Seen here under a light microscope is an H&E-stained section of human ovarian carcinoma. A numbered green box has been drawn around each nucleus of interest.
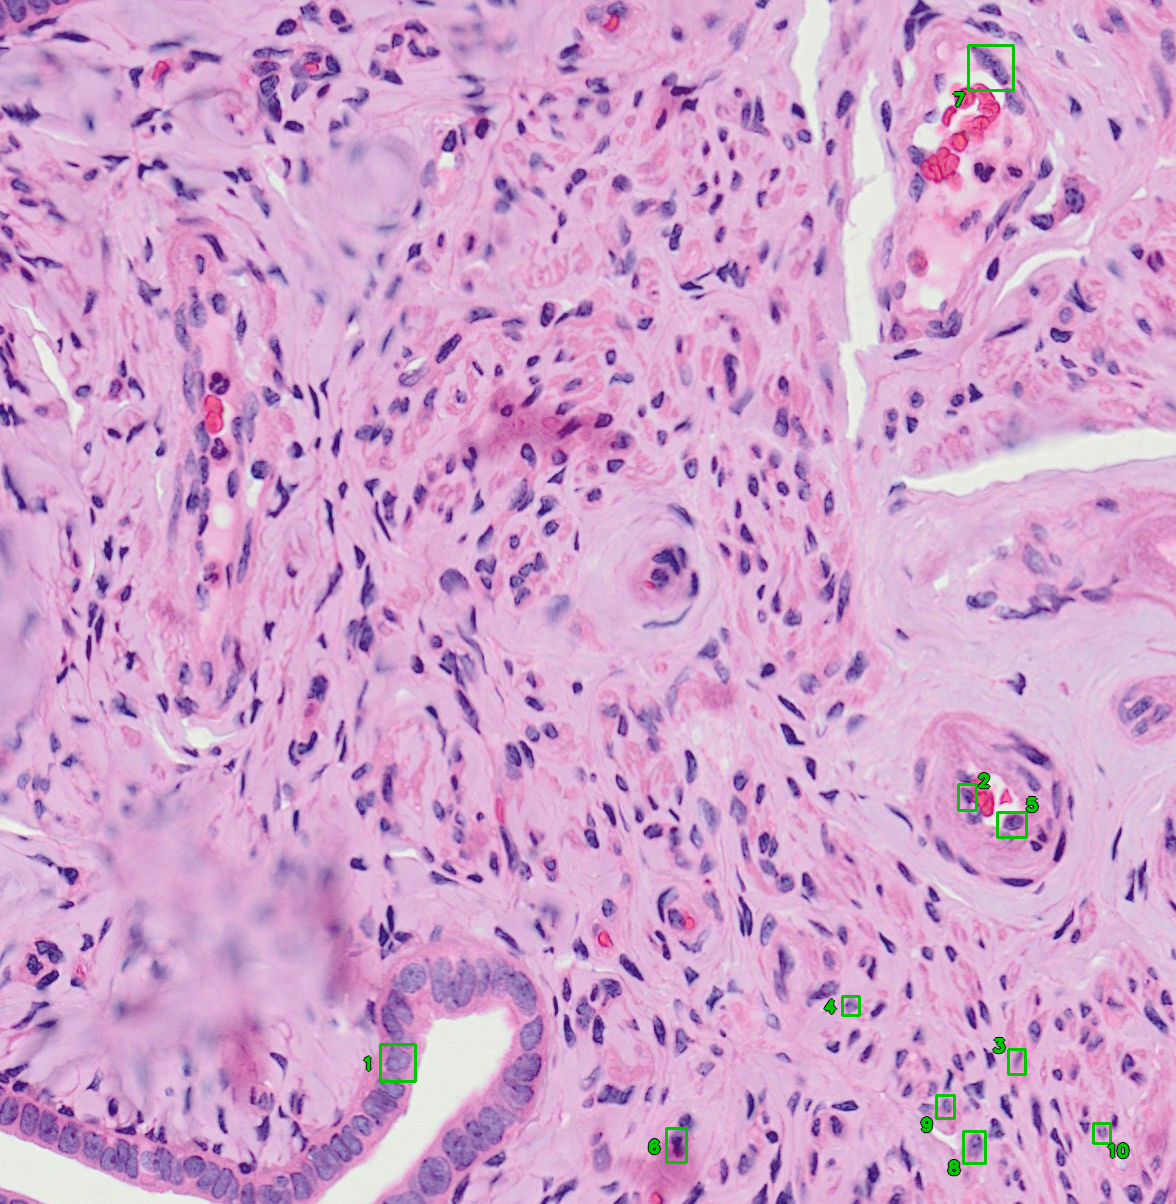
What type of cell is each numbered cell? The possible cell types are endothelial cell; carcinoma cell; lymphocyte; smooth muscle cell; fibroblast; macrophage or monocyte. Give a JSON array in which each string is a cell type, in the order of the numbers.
["carcinoma cell", "endothelial cell", "smooth muscle cell", "smooth muscle cell", "endothelial cell", "smooth muscle cell", "endothelial cell", "smooth muscle cell", "smooth muscle cell", "smooth muscle cell"]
